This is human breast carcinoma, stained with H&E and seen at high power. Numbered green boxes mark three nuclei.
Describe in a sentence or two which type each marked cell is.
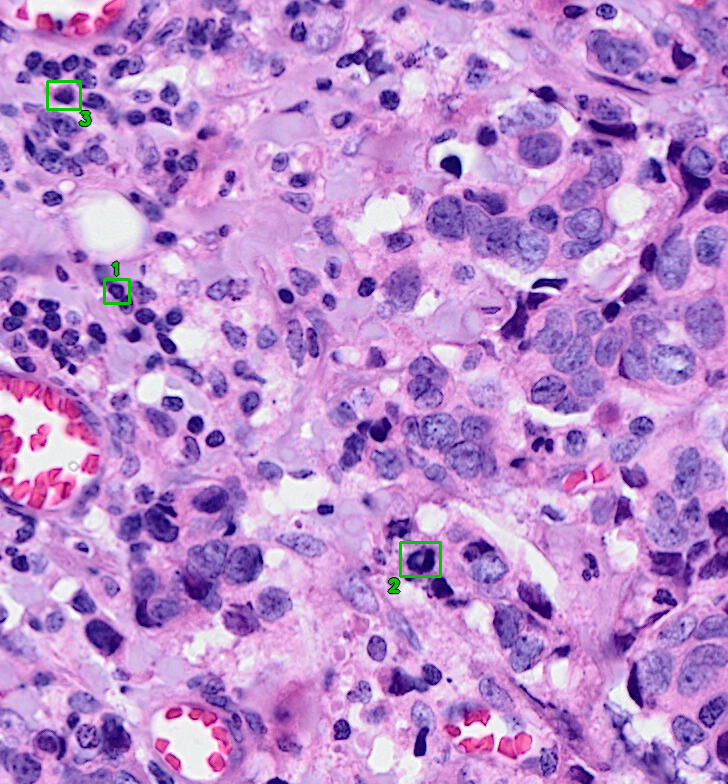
Cell 1 is a lymphocyte, cell 2 is a carcinoma cell and cell 3 is a lymphocyte.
